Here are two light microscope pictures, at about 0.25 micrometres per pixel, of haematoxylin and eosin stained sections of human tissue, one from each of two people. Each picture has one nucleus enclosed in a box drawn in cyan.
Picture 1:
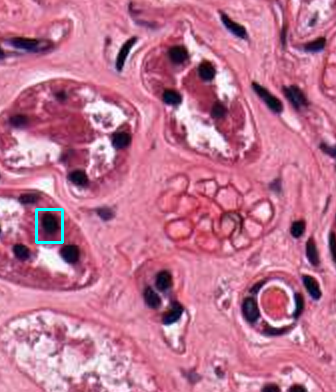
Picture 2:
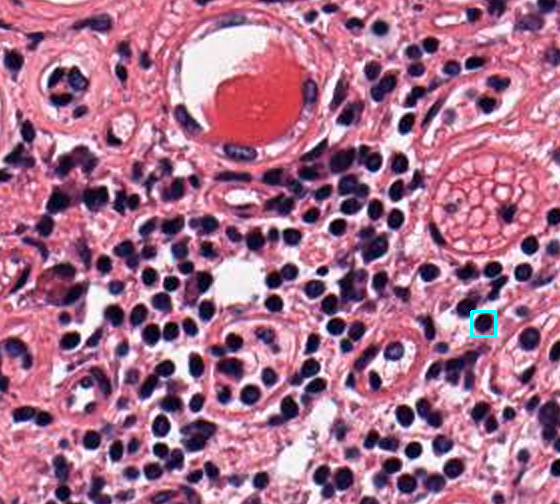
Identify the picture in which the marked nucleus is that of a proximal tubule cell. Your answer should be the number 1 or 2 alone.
1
